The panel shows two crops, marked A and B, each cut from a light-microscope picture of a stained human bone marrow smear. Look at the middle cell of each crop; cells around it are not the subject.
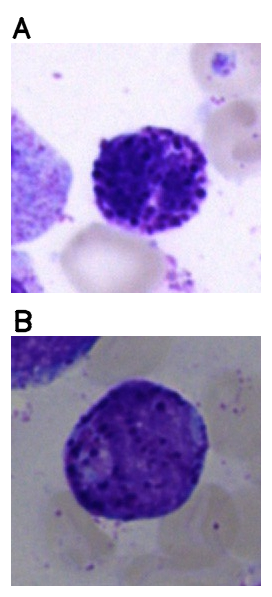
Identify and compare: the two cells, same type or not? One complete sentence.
Yes, the centre of both crops is taken up by basophils.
